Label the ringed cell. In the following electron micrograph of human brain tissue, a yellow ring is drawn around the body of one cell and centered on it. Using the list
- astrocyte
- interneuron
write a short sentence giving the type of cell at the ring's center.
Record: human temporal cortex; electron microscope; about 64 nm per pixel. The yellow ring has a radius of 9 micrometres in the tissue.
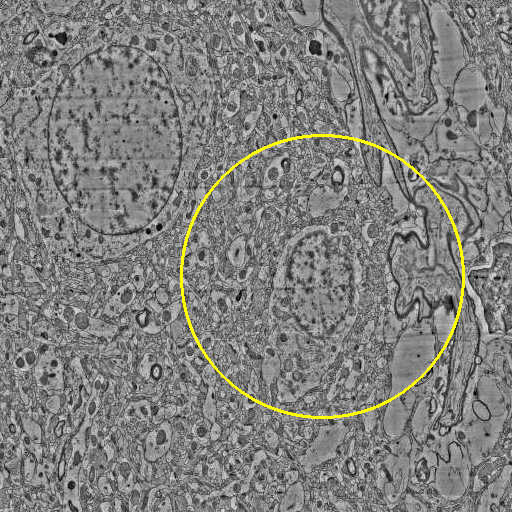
The cell body at the ring's center is that of an interneuron.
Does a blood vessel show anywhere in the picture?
Yes, there is one.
